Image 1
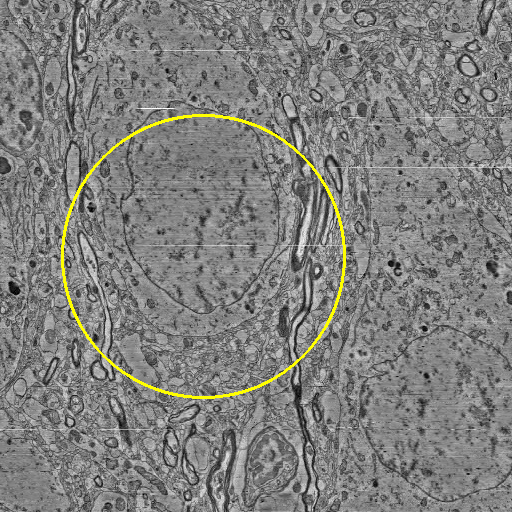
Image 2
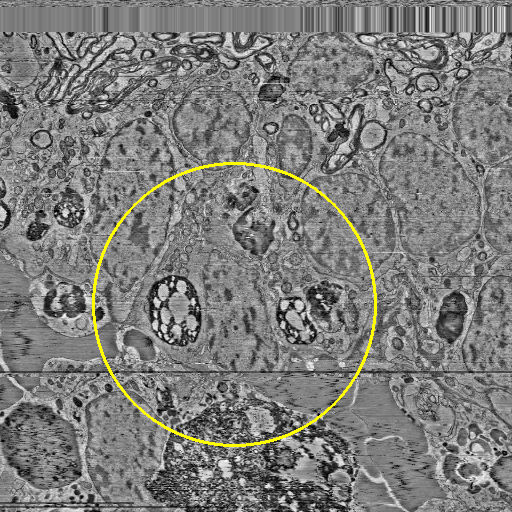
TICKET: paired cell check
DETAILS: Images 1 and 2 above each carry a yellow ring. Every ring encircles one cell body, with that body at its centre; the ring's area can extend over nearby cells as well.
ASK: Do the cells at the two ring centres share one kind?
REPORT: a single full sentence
No, the ring-centre cells of Images 1 and 2 belong to two kinds.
